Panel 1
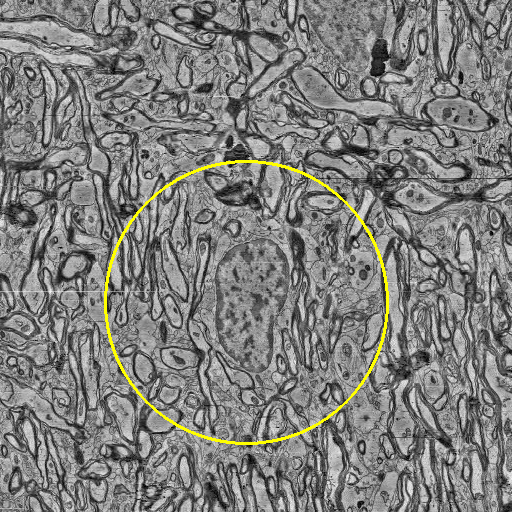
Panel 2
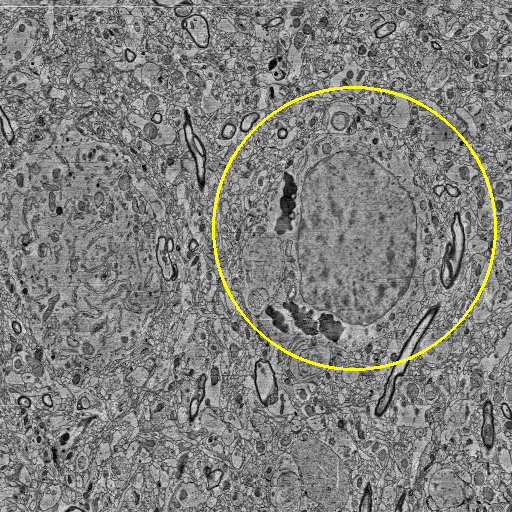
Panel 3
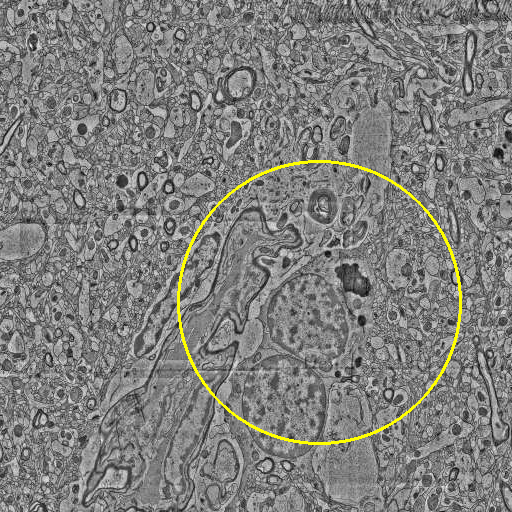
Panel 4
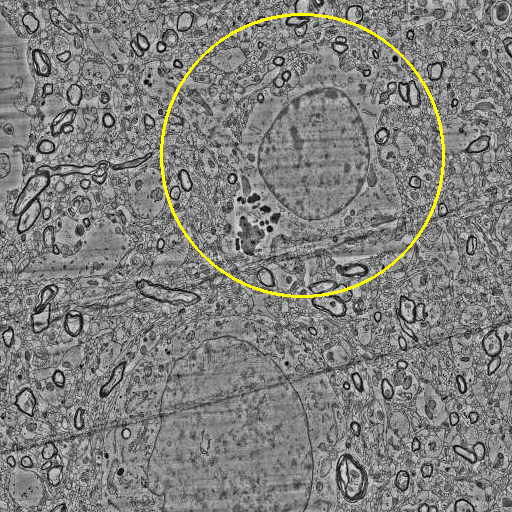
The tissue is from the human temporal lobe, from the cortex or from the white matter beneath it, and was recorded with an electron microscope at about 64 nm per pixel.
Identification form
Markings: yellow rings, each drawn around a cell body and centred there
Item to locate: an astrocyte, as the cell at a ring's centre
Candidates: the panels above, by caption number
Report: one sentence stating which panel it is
It is Panel 4.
